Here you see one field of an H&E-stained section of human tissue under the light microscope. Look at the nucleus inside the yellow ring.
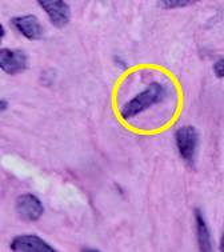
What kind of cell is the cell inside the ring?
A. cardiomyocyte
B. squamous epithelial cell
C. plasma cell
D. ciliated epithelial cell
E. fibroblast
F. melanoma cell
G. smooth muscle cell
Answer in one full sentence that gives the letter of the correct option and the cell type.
The correct choice is option E; the cell inside the ring is a fibroblast.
